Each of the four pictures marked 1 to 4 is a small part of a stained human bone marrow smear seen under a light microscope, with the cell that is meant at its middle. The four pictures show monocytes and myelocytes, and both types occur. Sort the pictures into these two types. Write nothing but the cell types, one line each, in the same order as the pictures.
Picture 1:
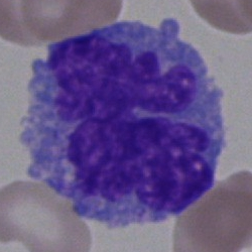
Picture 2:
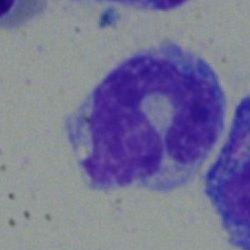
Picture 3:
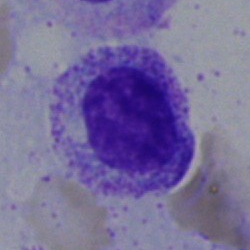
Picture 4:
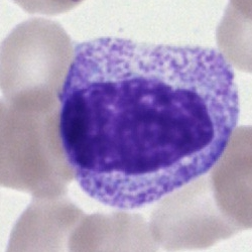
monocyte
monocyte
myelocyte
myelocyte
